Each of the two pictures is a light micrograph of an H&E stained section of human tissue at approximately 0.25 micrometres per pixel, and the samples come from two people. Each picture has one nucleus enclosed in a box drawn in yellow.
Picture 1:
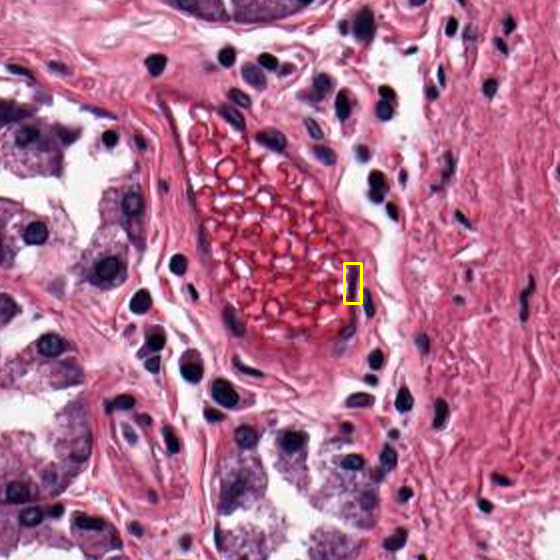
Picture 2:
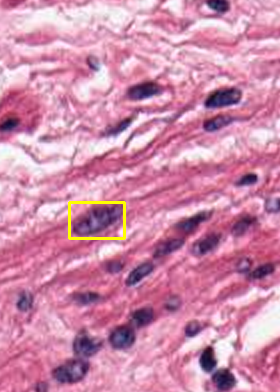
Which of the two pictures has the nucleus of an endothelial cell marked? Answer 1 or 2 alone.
1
